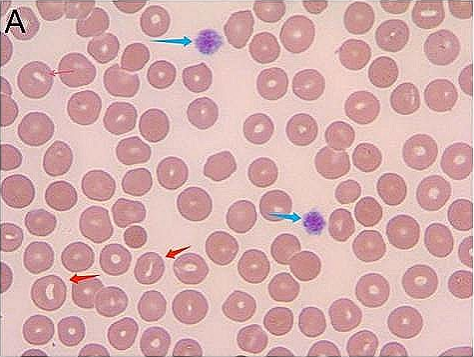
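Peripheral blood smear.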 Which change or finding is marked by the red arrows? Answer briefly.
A: Stomatocytes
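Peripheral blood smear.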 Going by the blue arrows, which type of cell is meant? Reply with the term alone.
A: Enlarged platelets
